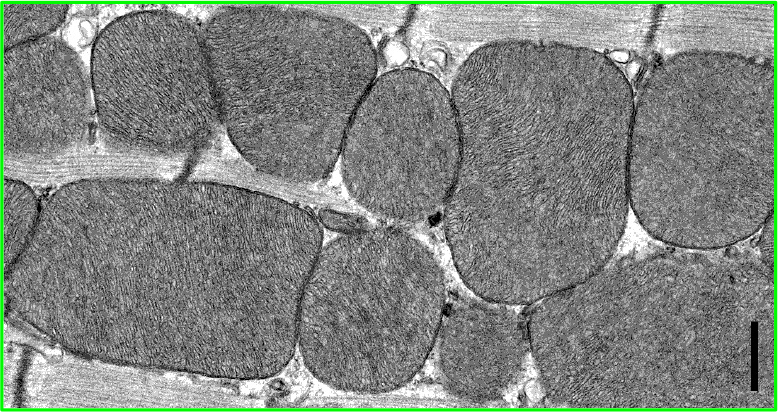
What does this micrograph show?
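Electron micrograph of heart muscle packed with large, rounded to oval mitochondria filled with tightly stacked cristae. Between them run bands of striated myofibrils, and small pale vesicles lie in the gaps where the mitochondria meet.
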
